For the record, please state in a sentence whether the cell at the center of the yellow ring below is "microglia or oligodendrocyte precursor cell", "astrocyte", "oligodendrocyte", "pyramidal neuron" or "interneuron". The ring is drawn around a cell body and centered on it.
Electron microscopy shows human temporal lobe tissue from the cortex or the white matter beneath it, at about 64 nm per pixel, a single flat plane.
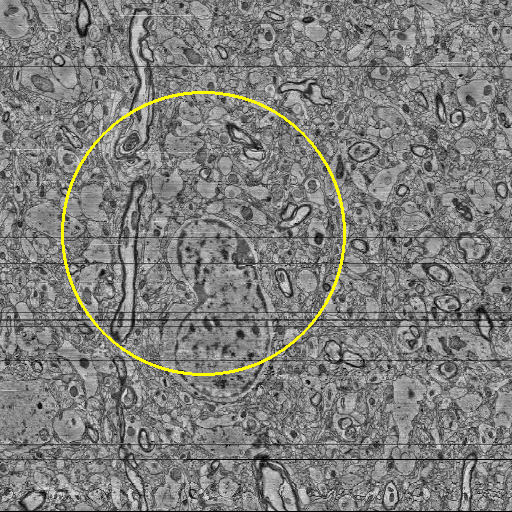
The cell at the ring's center is a microglial cell or oligodendrocyte precursor cell.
